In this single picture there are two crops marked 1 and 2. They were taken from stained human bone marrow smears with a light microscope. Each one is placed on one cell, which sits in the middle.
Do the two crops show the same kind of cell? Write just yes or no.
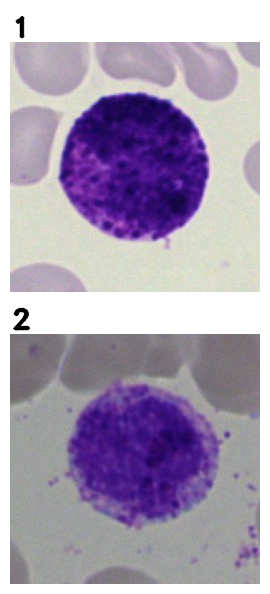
yes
